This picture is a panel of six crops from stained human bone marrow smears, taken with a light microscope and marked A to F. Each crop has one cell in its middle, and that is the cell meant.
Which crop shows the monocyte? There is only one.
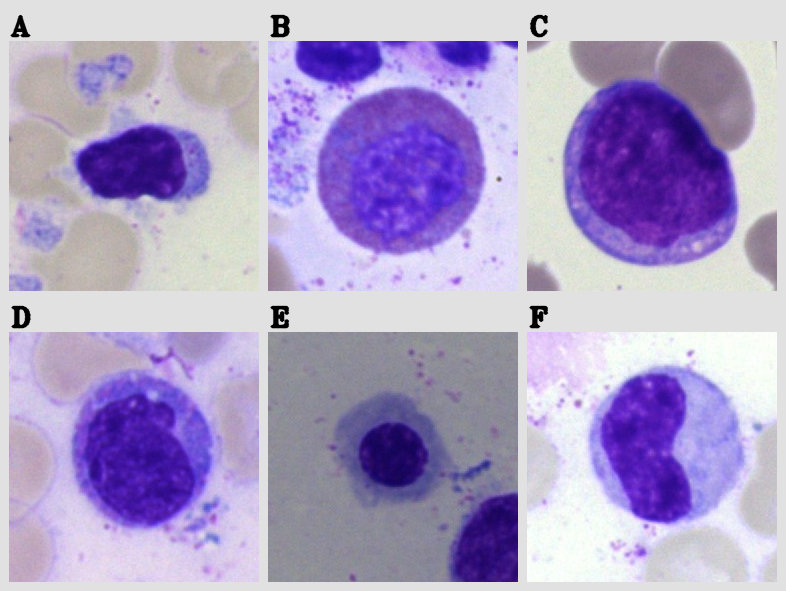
D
